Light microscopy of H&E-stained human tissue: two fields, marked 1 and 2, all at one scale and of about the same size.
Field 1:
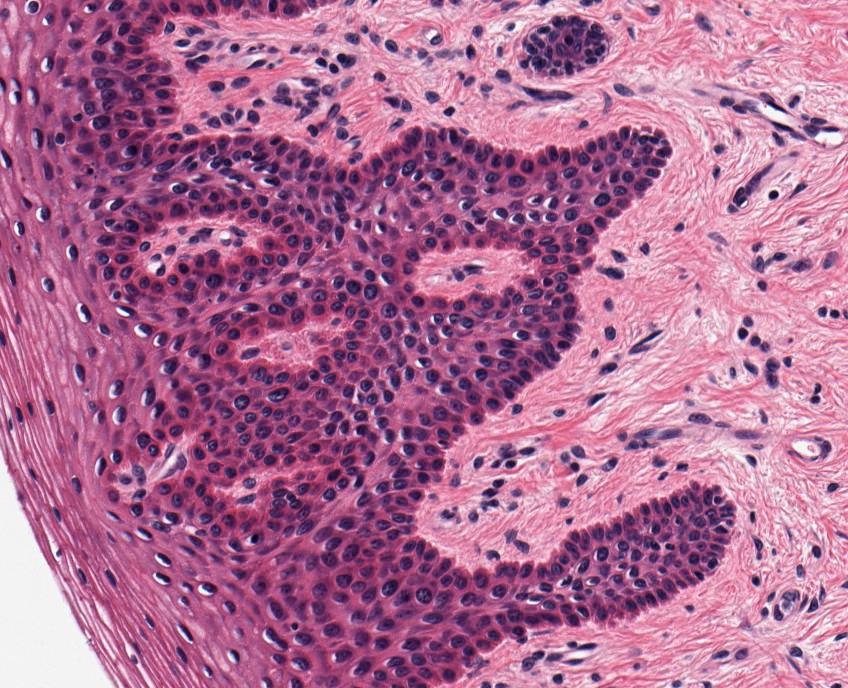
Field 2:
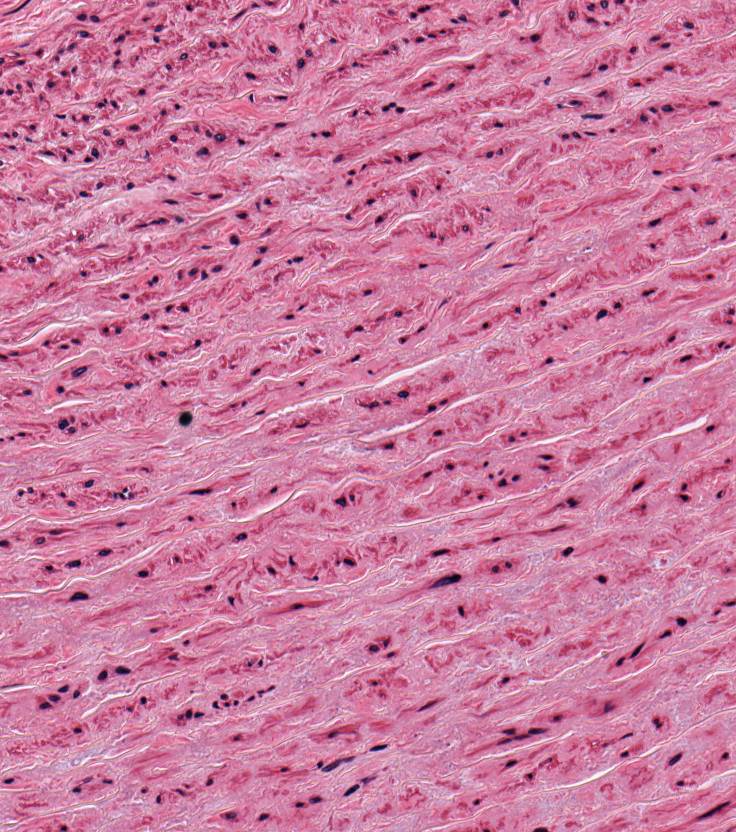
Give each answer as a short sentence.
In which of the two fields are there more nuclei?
The larger number of nuclei is in field 1.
